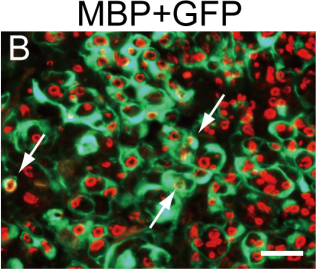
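The green cells are irregular, with thin processes and sheet-like bodies that enclose single fibres. Fibre sizes vary, mostly small. No large gaps or cavities are seen; the tissue is compact.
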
